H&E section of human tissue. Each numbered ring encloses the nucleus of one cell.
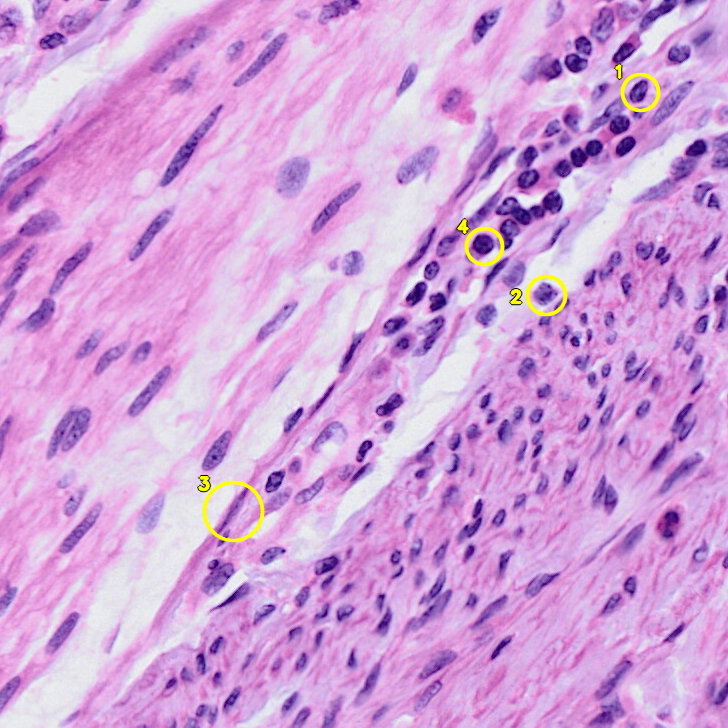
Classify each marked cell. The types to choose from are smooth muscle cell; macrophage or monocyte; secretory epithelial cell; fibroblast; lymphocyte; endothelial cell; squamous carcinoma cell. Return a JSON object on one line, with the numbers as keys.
{"1": "lymphocyte", "2": "lymphocyte", "3": "endothelial cell", "4": "lymphocyte"}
